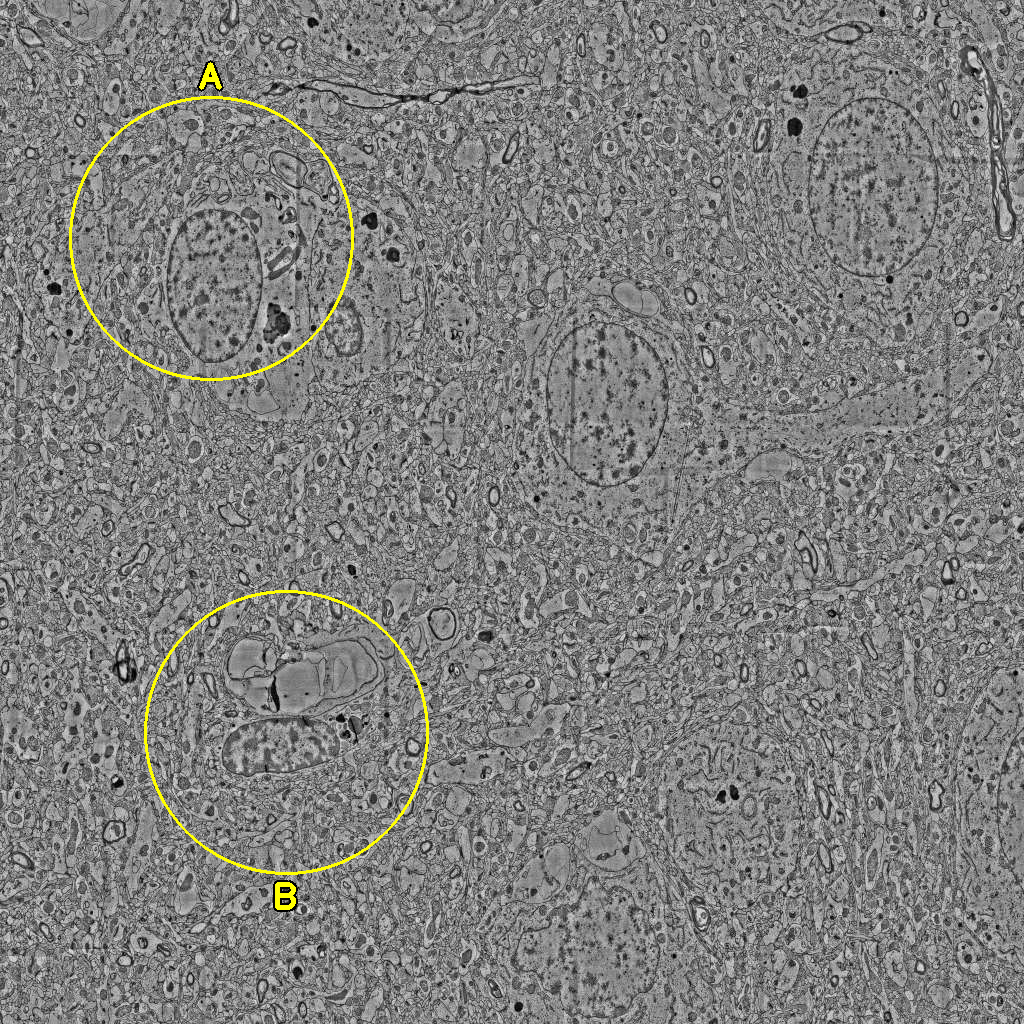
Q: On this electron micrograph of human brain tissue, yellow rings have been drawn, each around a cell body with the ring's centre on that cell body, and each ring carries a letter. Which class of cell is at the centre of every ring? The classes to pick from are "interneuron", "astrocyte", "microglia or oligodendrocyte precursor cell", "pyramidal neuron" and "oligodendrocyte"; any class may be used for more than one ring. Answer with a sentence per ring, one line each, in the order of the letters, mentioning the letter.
The centre of ring A is occupied by an astrocyte.
The centre of ring B is occupied by a microglial cell or oligodendrocyte precursor cell.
